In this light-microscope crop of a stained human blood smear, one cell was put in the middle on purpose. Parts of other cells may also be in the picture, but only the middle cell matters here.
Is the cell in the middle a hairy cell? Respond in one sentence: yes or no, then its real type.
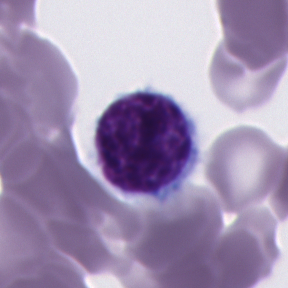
Yes, in this crop the cell in the middle is a hairy cell.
